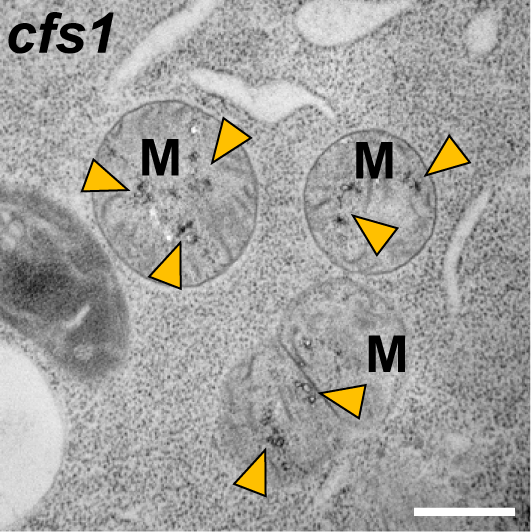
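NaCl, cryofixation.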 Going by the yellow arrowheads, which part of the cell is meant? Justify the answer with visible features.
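Electron dense precipitates. Small dark granules lie inside the round organelles the arrowheads point to. The granules are darker than the surrounding matrix.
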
